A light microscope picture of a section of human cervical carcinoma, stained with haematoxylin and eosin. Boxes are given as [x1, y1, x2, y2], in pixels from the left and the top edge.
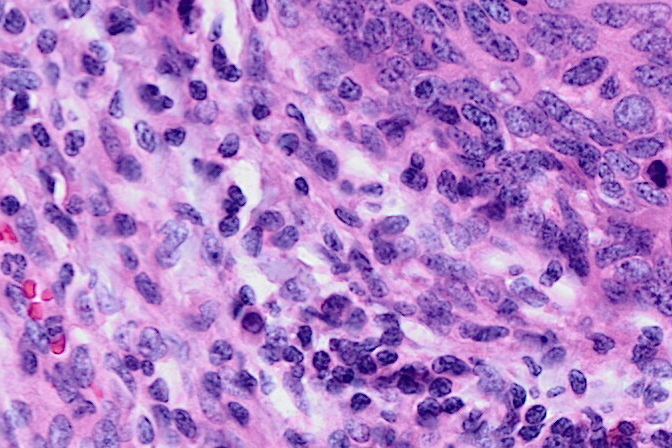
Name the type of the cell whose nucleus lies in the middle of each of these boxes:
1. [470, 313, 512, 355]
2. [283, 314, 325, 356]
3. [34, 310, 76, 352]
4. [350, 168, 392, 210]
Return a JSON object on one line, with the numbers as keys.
{"1": "lymphocyte", "2": "lymphocyte", "3": "endothelial cell", "4": "lymphocyte"}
